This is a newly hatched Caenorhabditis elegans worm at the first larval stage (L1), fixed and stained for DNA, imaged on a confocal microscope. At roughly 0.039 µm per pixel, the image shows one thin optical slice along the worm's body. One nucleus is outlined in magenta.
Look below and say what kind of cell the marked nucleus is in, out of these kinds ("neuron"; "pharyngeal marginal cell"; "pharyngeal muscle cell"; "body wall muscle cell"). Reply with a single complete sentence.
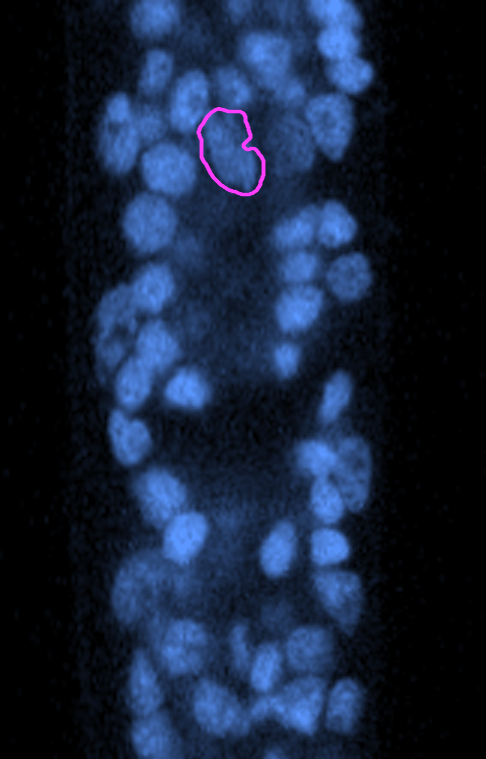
What is marked is the nucleus of a pharyngeal marginal cell.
